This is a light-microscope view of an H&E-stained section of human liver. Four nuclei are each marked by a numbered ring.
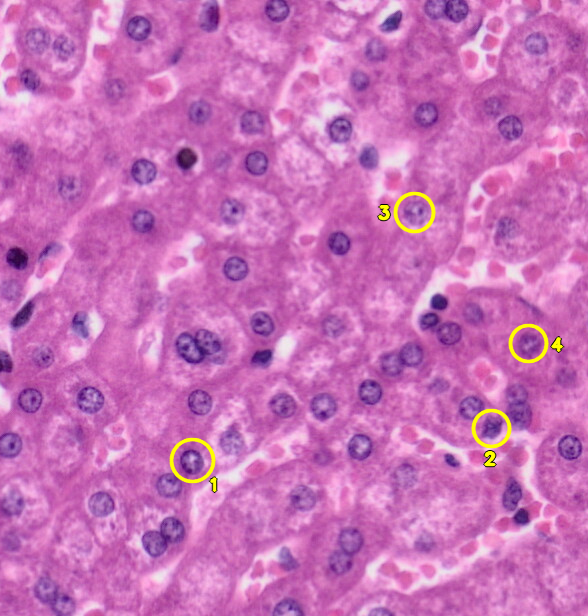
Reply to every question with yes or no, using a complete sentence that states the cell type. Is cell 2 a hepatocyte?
No, at number 2 sits a fibroblast or stellate cell, not a hepatocyte.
